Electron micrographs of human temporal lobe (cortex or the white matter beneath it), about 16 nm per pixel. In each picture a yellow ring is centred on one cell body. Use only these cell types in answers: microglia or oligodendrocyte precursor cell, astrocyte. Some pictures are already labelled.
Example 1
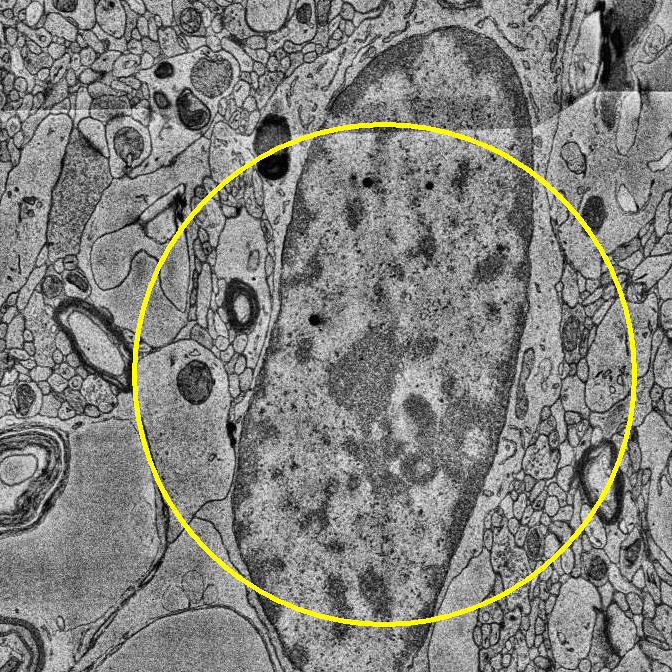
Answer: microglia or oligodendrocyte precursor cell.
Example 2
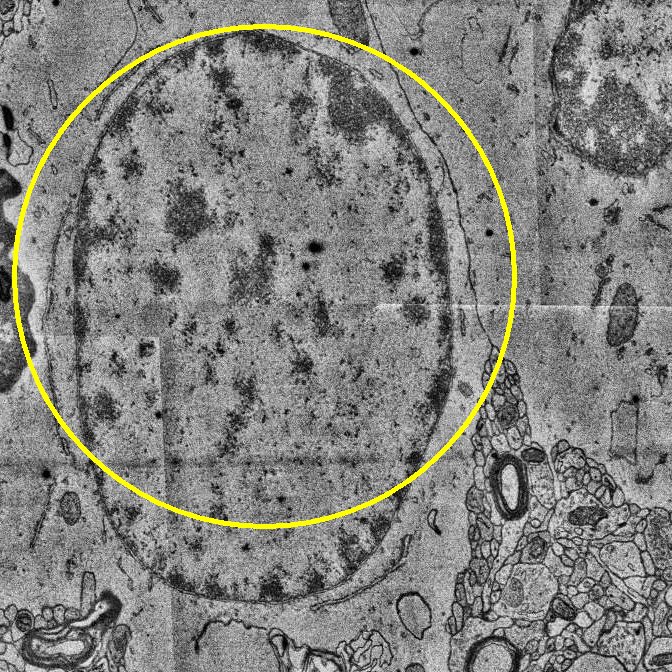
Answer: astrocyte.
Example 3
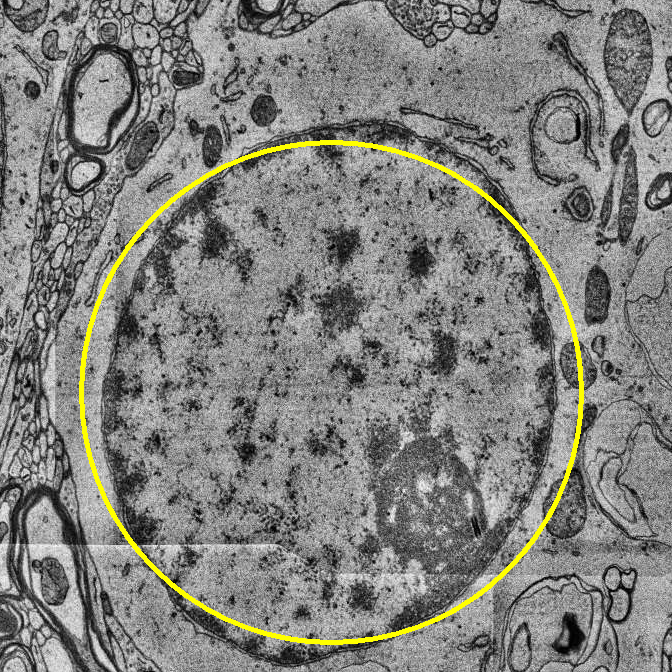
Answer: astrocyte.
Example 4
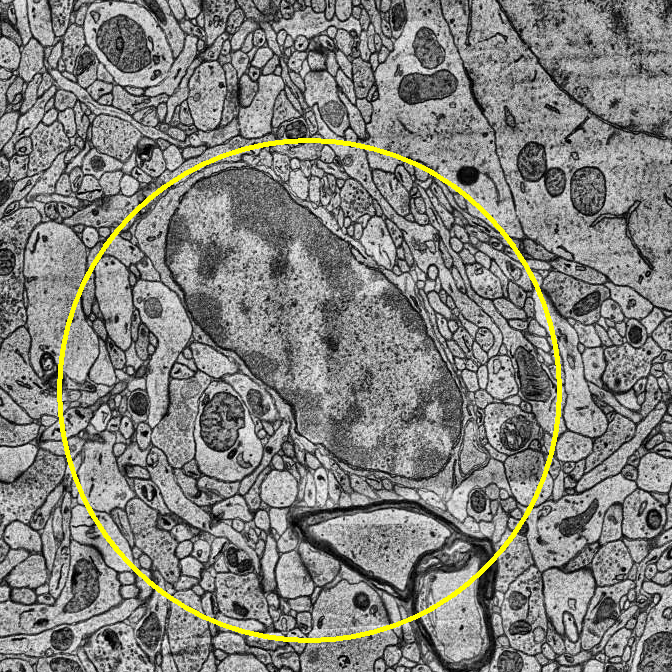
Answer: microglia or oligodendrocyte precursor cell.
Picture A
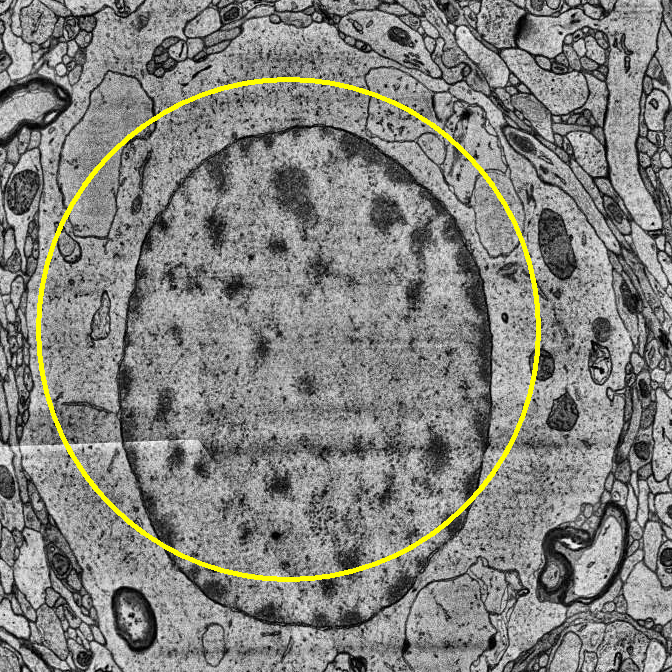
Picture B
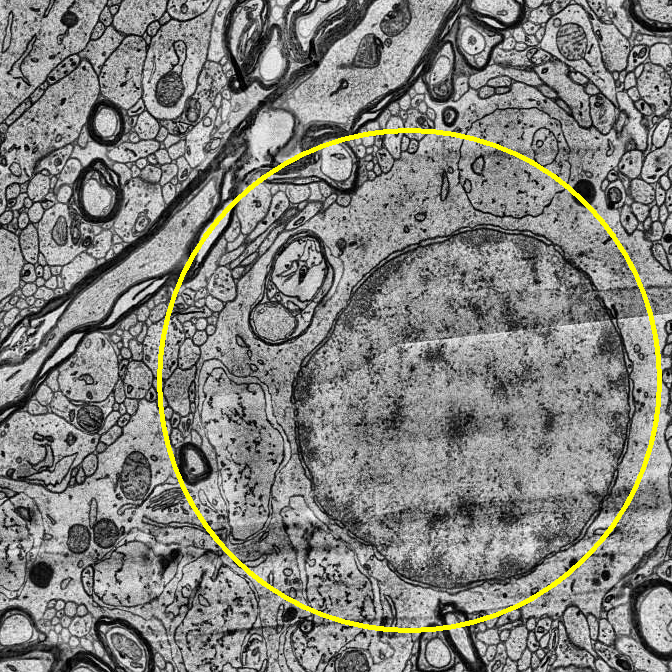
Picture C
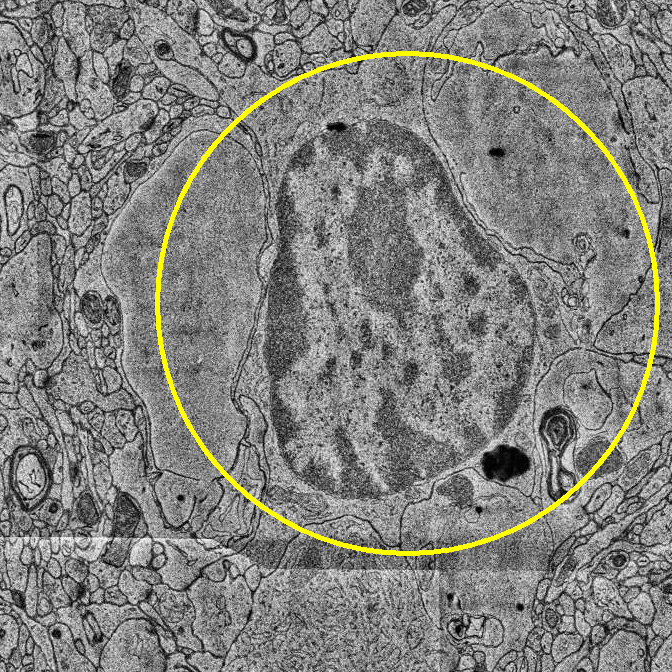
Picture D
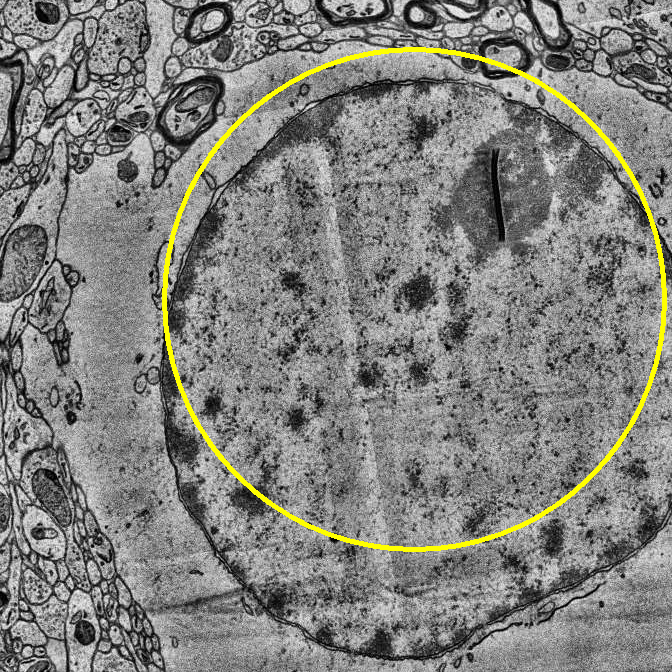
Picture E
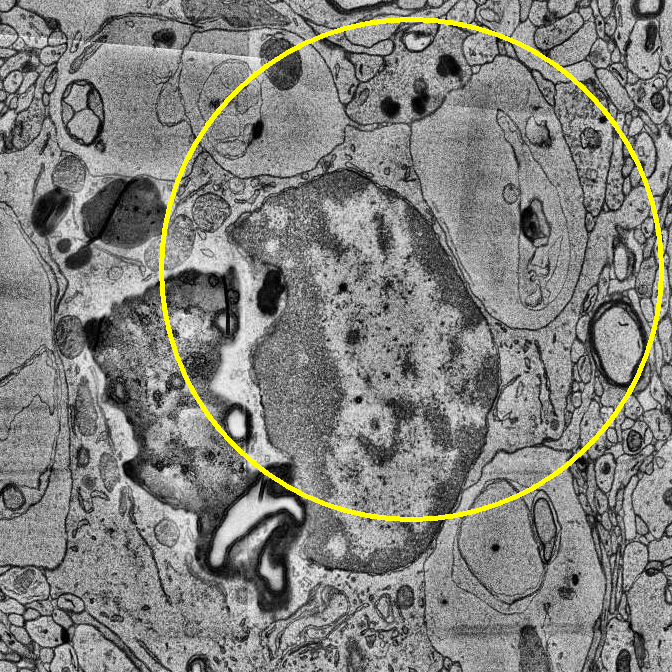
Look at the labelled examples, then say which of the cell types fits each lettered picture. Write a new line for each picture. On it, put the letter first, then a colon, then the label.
A: astrocyte.
B: astrocyte.
C: microglia or oligodendrocyte precursor cell.
D: astrocyte.
E: microglia or oligodendrocyte precursor cell.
